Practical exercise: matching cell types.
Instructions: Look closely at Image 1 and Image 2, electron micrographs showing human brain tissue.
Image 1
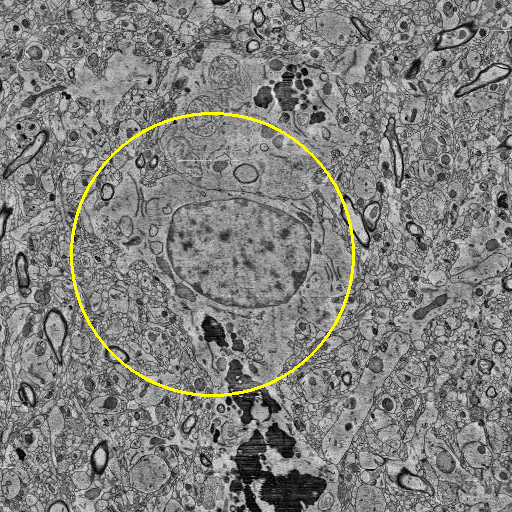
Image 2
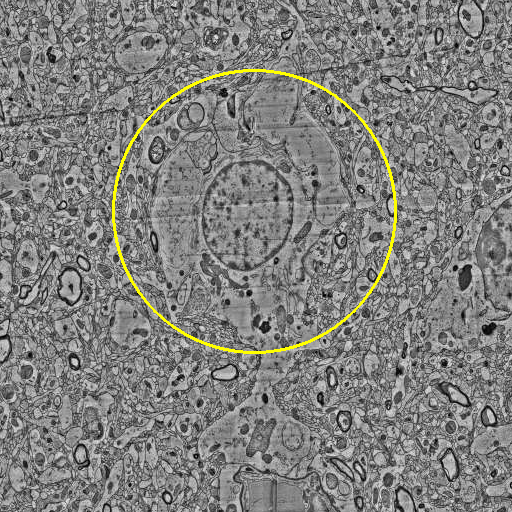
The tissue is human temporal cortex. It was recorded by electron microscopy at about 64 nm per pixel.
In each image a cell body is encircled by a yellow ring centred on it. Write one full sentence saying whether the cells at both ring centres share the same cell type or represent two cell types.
Across Image 1 and Image 2, the cells at the ring centres share the same cell type.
